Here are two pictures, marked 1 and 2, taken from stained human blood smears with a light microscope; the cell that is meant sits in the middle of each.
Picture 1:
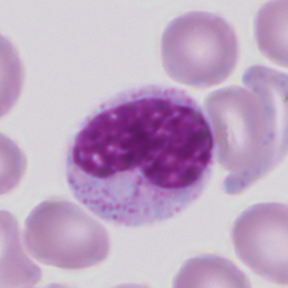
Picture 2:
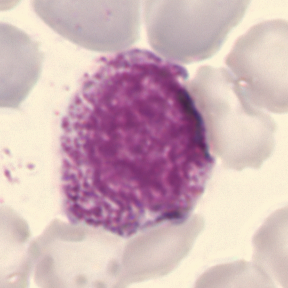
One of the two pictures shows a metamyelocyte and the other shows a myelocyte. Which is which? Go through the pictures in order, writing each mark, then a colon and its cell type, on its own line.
1: metamyelocyte
2: myelocyte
